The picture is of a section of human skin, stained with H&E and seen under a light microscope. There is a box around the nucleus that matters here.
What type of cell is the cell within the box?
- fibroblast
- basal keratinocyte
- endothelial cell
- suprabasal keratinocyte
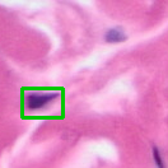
fibroblast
